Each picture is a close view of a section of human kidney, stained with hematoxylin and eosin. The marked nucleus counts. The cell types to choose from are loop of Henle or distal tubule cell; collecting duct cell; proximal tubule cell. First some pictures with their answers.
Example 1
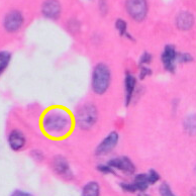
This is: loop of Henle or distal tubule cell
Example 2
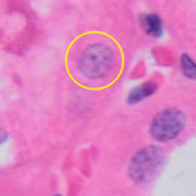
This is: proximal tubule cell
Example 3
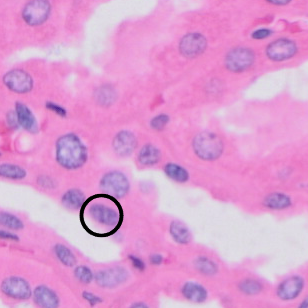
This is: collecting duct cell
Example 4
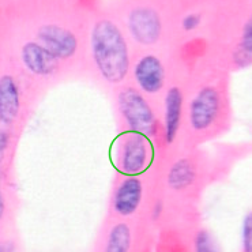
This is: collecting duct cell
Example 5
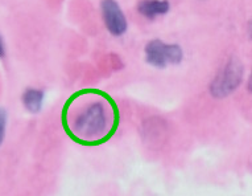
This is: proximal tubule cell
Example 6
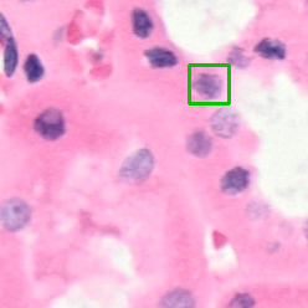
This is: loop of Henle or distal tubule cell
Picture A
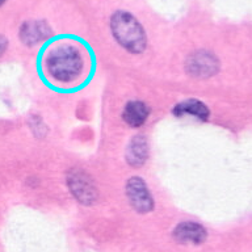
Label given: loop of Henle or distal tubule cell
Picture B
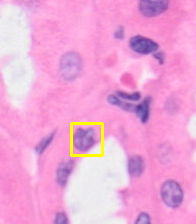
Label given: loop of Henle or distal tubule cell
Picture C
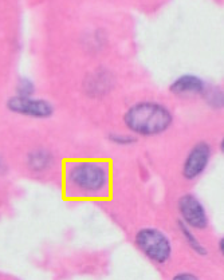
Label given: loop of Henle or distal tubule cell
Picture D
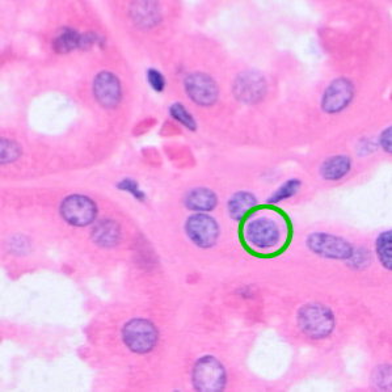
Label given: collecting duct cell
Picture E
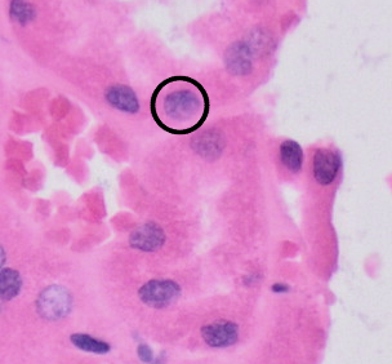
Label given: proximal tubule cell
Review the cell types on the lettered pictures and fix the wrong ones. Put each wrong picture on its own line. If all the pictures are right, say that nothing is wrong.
Every label is right.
